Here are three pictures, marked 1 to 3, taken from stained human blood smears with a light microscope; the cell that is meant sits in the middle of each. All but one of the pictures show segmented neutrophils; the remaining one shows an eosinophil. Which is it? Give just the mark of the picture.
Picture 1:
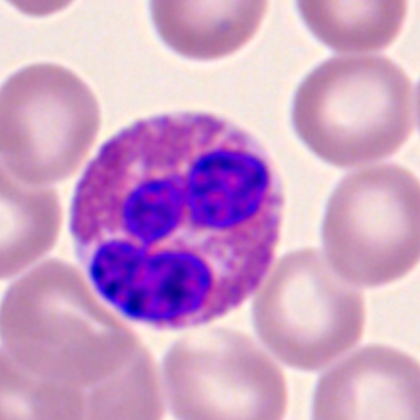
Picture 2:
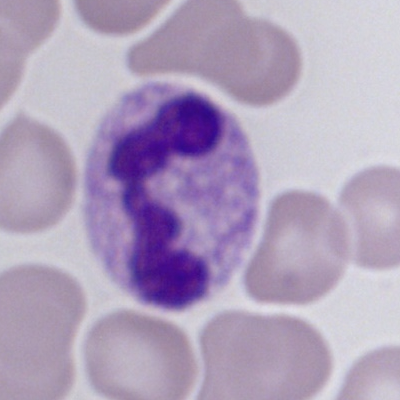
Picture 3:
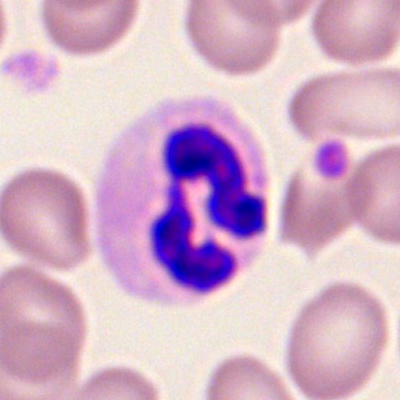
1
